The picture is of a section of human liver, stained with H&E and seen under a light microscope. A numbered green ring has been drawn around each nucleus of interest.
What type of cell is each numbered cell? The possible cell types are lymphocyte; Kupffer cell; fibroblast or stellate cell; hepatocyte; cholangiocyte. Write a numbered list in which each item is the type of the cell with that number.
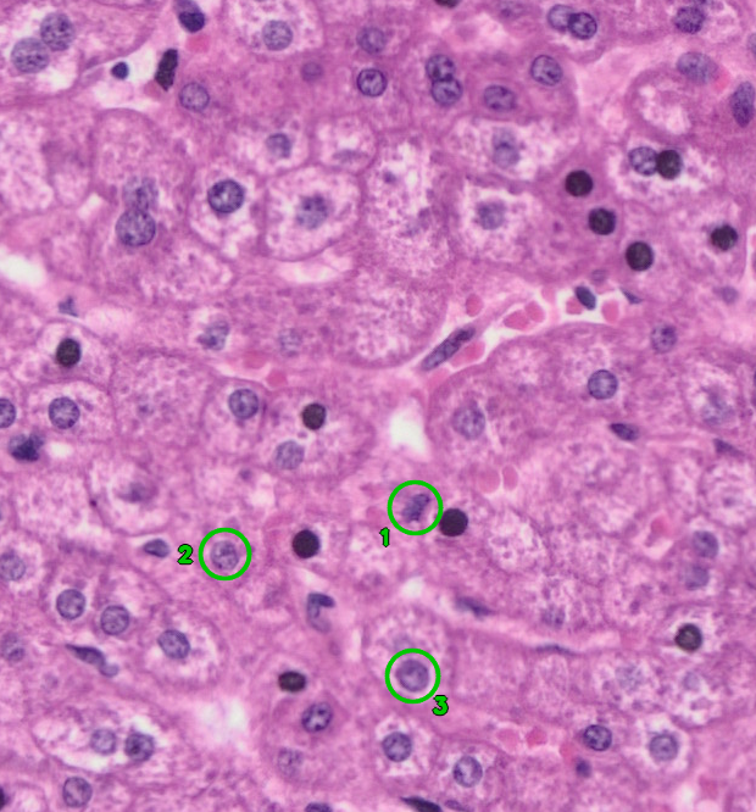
1. fibroblast or stellate cell
2. hepatocyte
3. hepatocyte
